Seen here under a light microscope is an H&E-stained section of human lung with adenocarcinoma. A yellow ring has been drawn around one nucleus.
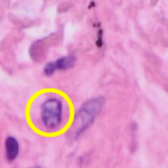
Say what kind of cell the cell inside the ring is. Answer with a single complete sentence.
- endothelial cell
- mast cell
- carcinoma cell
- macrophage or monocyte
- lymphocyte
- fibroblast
In this field of tissue, the cell inside the ring is a mast cell.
